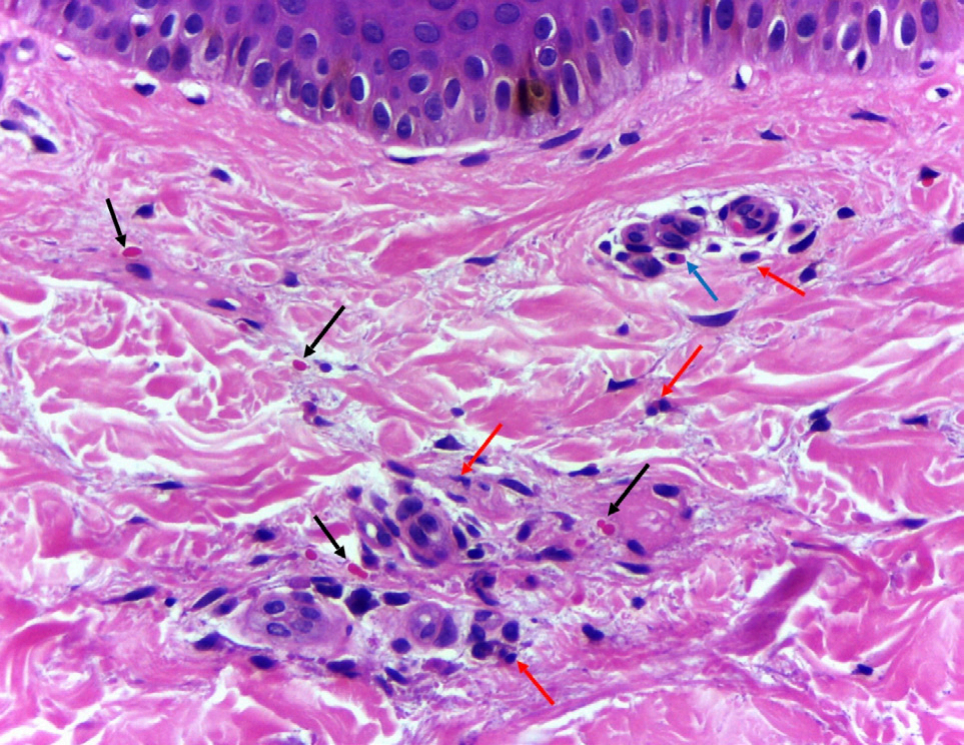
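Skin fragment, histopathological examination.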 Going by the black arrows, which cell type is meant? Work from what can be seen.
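The black arrows point to small round bright pink-red bodies without nuclei. These bodies lie free among the collagen fibres of the dermis, outside vessel lumina. They are smaller than the nucleated cells nearby.
Conclusion: extravasated red blood cells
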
